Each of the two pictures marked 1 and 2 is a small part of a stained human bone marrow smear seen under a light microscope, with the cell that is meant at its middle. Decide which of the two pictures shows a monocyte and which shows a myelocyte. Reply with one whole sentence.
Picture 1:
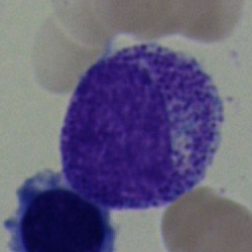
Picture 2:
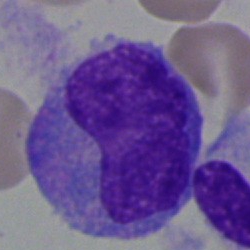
In picture 1 the cell is a myelocyte; in picture 2, a monocyte.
